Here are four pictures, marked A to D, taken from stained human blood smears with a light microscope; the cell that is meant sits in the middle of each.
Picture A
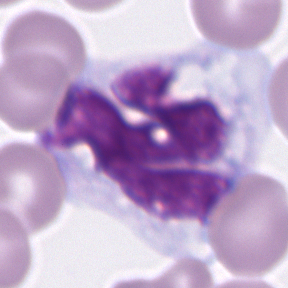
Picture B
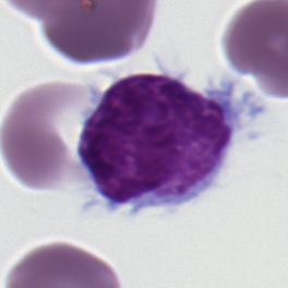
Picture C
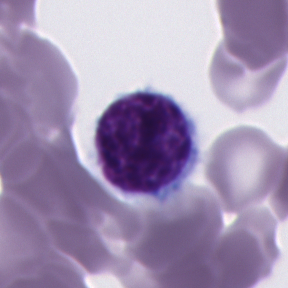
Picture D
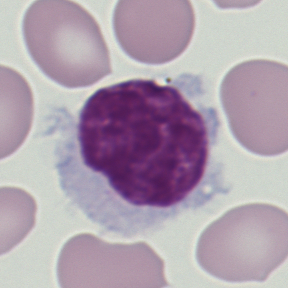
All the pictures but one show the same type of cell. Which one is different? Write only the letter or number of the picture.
A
